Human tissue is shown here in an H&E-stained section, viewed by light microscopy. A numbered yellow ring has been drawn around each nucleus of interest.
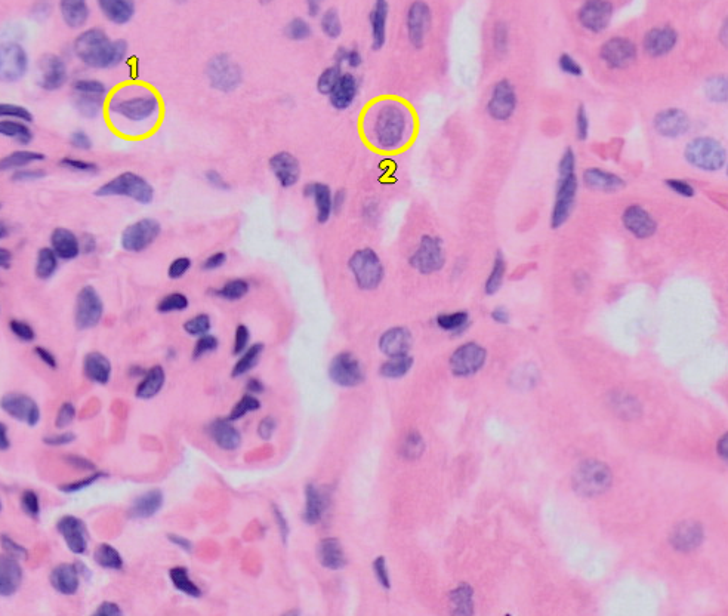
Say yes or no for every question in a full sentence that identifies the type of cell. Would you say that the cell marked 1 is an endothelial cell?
Yes, what number 1 marks is an endothelial cell.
